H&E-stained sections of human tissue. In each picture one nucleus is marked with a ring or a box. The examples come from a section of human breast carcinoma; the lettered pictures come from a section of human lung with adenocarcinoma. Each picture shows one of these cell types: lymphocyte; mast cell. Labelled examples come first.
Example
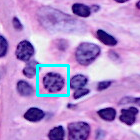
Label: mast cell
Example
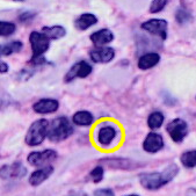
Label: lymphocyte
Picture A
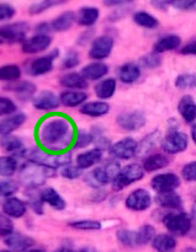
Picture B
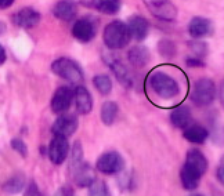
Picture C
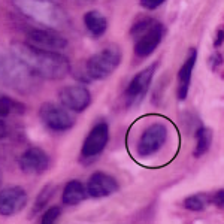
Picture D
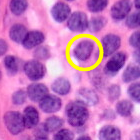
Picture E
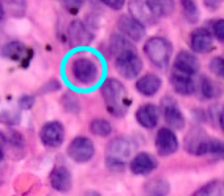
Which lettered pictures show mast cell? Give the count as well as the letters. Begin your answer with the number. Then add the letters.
Count: 1 (C)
